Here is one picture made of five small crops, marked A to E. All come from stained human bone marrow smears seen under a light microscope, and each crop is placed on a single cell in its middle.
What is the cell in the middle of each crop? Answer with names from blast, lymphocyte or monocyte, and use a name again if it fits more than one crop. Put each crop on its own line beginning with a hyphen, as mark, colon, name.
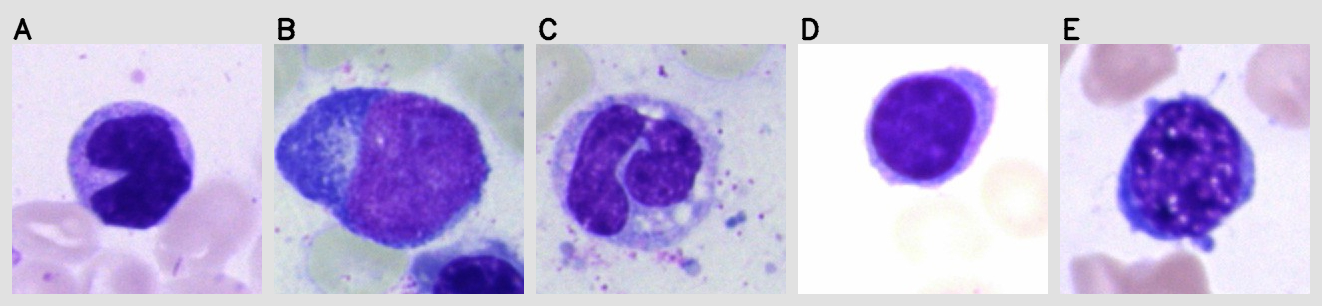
- A: monocyte
- B: blast
- C: monocyte
- D: lymphocyte
- E: blast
